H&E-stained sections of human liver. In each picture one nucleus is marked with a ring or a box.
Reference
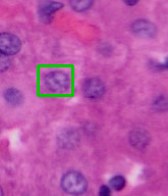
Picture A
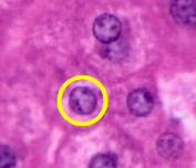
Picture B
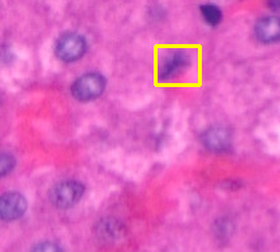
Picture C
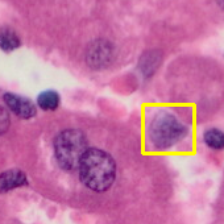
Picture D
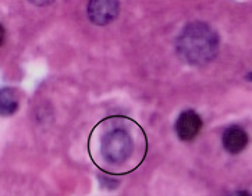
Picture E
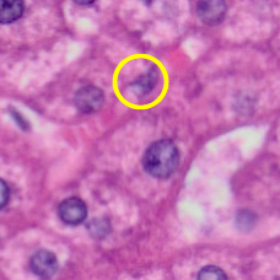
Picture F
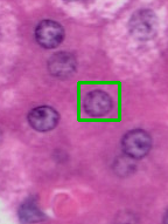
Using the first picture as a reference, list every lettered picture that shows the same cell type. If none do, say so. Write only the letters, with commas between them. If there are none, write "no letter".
A, D, F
